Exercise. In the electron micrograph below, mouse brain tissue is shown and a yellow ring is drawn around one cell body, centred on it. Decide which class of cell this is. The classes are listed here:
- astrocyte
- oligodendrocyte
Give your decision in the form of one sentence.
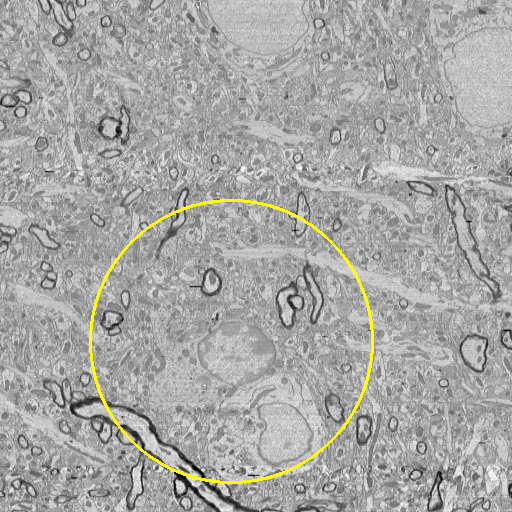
The cell body marked by the ring belongs to an oligodendrocyte.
